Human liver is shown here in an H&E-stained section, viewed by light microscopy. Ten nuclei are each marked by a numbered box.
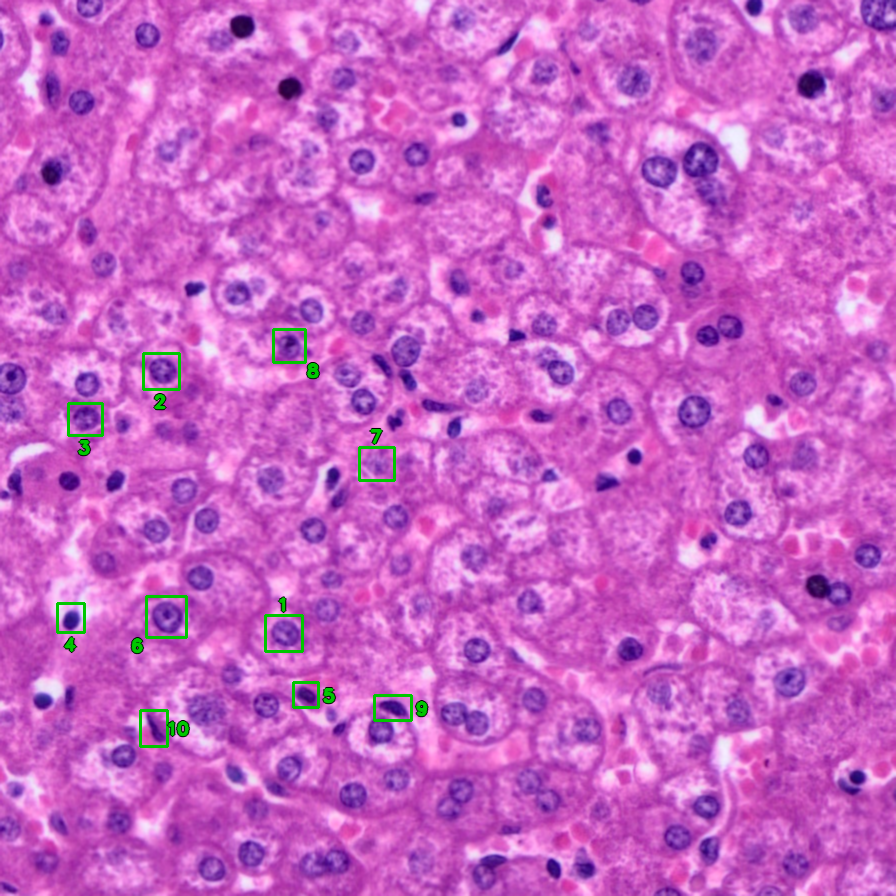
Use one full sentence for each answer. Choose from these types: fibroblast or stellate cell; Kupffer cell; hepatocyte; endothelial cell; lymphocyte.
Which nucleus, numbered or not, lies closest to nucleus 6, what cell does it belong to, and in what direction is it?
Lying above and to the right of nucleus 6, the nearest nucleus is that of a hepatocyte.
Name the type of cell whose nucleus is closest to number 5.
The nearest nucleus to number 5 belongs to a lymphocyte.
